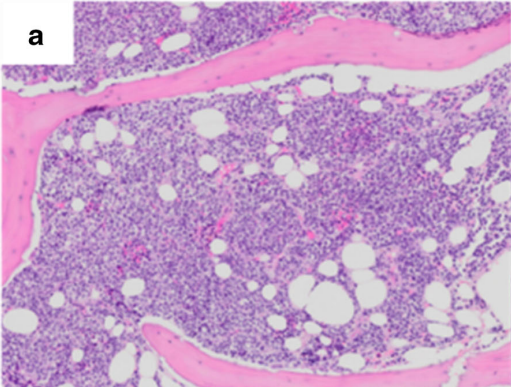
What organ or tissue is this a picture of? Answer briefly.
Bone marrow.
